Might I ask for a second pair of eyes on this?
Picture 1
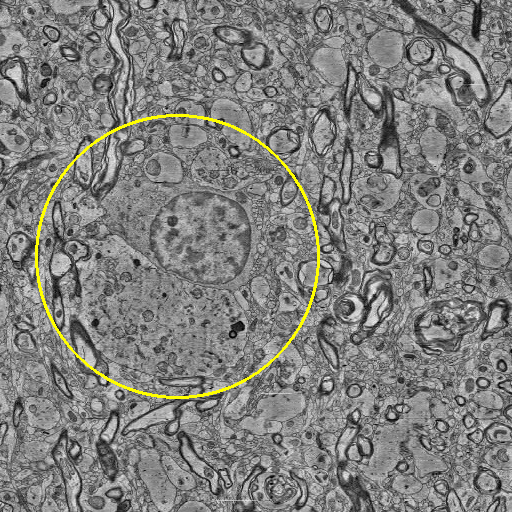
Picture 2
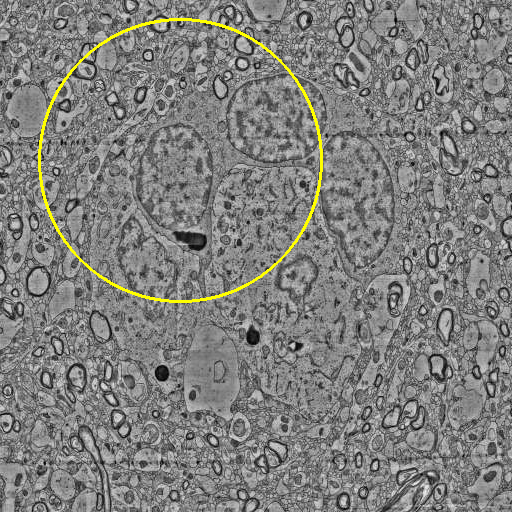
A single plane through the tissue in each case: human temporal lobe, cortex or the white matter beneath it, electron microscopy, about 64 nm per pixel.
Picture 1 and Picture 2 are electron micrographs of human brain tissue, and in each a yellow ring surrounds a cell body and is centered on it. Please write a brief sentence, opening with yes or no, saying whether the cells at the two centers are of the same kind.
Yes, the cells are of the same kind.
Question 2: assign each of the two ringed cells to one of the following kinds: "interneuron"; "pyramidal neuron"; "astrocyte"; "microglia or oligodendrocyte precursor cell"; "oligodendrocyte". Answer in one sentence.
The cell in the first picture is an oligodendrocyte, and so is the one in the second.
